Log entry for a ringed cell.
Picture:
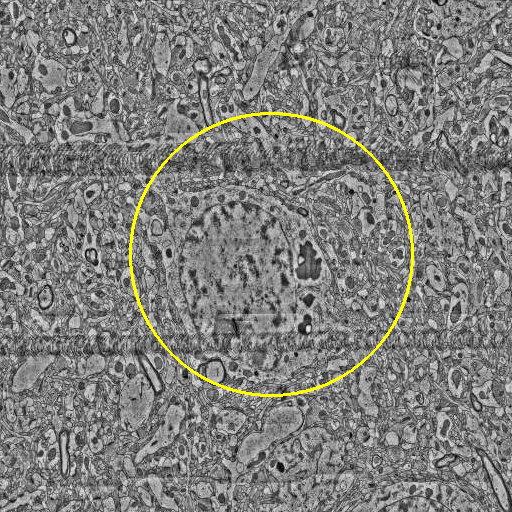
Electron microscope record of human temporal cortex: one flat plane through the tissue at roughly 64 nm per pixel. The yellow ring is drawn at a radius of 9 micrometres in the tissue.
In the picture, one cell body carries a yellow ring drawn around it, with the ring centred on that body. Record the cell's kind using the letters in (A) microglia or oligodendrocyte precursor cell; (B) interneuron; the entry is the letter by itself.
B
